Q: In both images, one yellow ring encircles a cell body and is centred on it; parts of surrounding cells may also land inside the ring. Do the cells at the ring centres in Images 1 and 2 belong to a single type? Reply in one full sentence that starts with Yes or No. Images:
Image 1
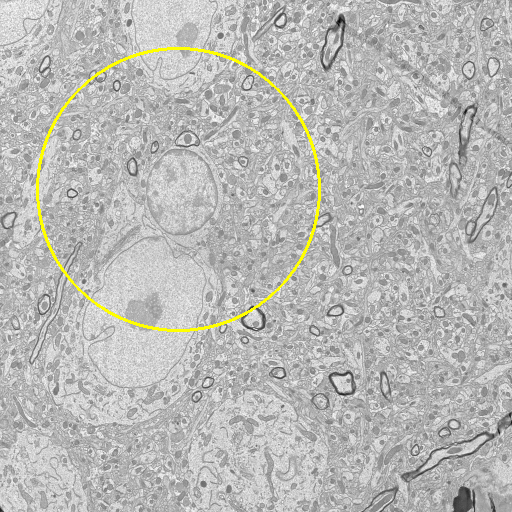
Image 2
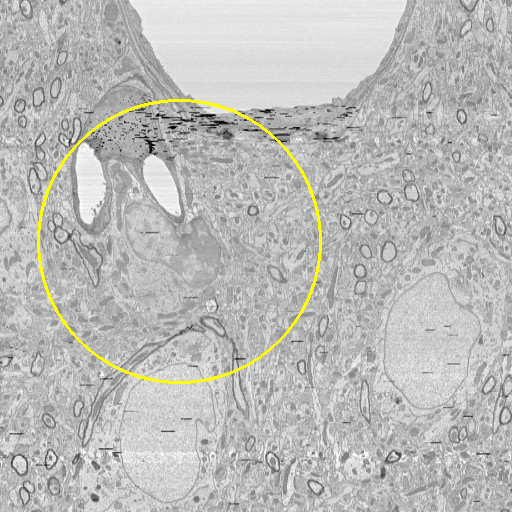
Yes, the cells at the ring centres in Images 1 and 2 are of a single type.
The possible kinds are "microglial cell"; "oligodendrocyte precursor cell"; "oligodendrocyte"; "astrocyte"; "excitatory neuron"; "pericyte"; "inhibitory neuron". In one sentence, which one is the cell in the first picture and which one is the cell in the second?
In each picture the ringed cell is an oligodendrocyte.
